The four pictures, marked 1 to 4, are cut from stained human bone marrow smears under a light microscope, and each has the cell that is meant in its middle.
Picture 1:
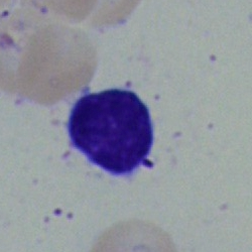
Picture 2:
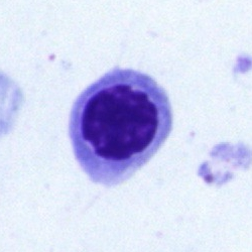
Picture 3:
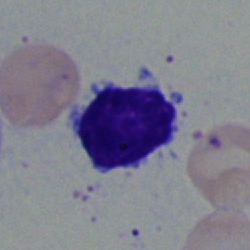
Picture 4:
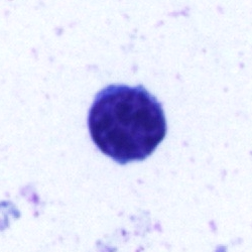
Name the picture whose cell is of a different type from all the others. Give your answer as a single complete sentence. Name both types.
All pictures except 2 show lymphocytes; picture 2 shows an erythroblast.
